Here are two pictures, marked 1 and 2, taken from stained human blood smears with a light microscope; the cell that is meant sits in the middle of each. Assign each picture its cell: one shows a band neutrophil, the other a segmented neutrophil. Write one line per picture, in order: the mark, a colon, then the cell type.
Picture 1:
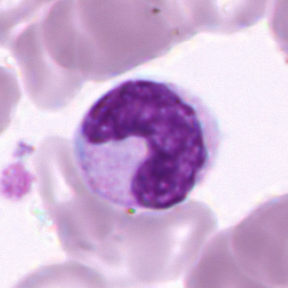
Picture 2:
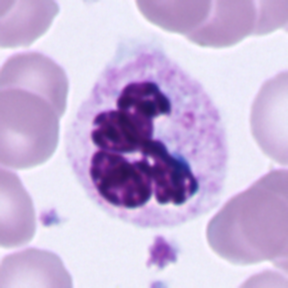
1: band neutrophil
2: segmented neutrophil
